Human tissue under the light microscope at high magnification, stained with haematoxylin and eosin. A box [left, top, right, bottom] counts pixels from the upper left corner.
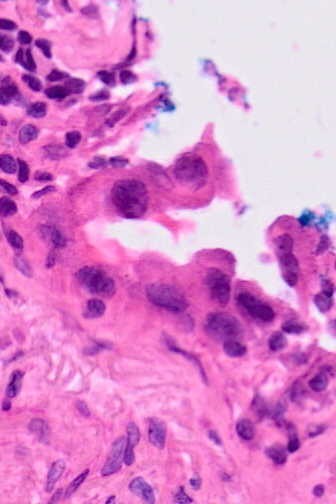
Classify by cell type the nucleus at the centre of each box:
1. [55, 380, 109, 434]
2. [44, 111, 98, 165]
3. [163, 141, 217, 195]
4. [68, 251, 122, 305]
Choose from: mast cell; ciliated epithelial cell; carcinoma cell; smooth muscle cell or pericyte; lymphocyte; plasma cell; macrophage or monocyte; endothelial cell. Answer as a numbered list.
1. smooth muscle cell or pericyte
2. lymphocyte
3. carcinoma cell
4. carcinoma cell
